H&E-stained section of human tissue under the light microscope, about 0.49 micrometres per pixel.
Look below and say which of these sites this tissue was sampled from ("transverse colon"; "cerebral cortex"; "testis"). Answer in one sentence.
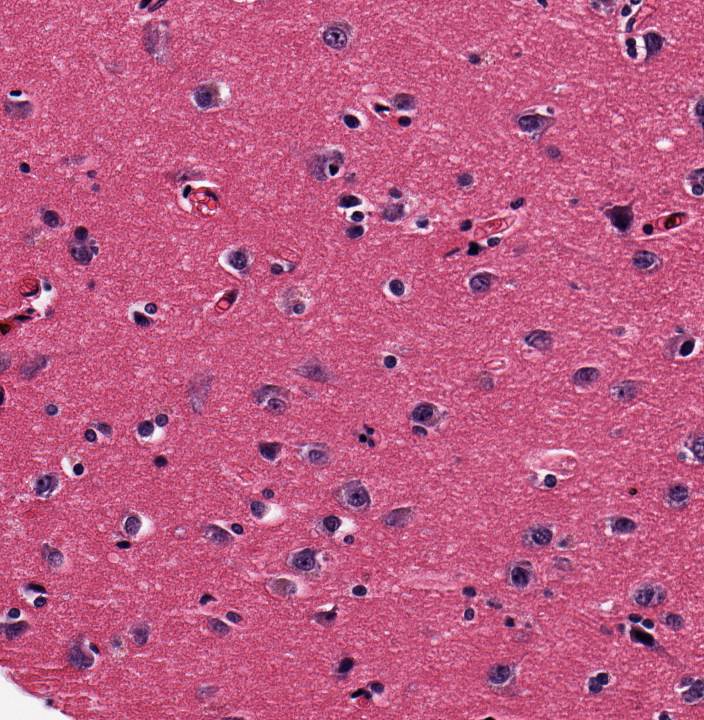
The site this tissue was sampled from is the cerebral cortex.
